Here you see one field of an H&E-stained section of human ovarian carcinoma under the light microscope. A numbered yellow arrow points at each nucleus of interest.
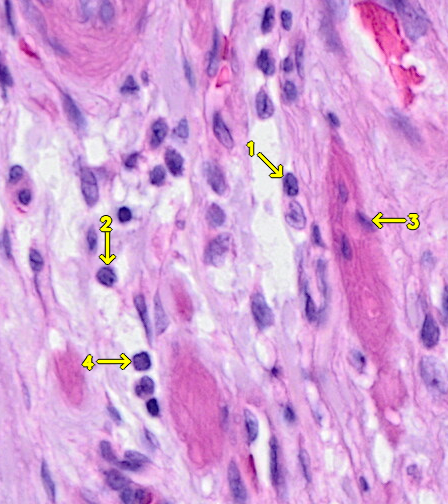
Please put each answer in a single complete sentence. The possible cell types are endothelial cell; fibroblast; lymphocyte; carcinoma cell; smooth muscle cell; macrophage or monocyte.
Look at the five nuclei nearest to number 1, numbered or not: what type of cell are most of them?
Of the five nuclei nearest to number 1, most belong to macrophages or monocytes.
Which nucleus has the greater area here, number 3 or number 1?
Nucleus 1 covers more area, about 2.5 times as much as nucleus 3.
